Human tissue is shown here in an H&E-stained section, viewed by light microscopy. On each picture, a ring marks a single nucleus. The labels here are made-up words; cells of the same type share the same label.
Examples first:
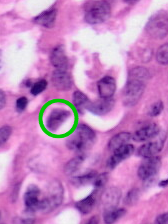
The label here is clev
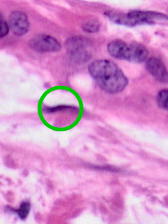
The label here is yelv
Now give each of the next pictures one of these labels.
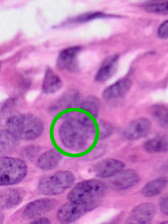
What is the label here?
clev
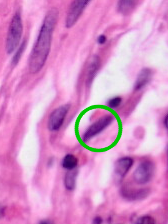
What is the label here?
yelv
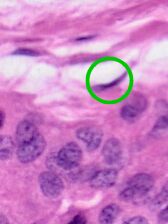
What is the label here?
yelv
